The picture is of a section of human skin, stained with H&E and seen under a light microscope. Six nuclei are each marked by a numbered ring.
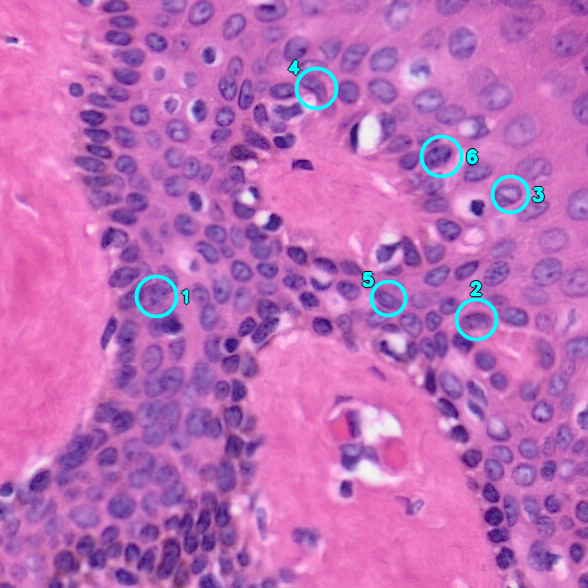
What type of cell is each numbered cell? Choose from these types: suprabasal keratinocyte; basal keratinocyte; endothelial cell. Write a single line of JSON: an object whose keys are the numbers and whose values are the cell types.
{"1": "basal keratinocyte", "2": "basal keratinocyte", "3": "suprabasal keratinocyte", "4": "basal keratinocyte", "5": "suprabasal keratinocyte", "6": "basal keratinocyte"}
